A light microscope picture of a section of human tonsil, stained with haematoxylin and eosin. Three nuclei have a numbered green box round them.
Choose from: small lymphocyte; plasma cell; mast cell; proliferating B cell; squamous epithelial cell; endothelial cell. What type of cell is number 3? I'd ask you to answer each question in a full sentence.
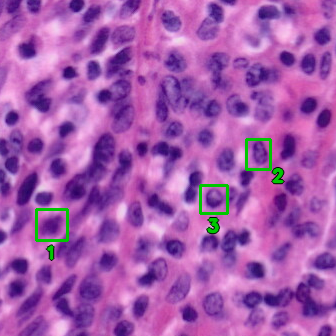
Here the cell numbered 3 is a plasma cell.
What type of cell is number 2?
The cell tagged with 2 in this tissue section is a plasma cell.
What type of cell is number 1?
In the tissue shown, cell 1 is a squamous epithelial cell.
